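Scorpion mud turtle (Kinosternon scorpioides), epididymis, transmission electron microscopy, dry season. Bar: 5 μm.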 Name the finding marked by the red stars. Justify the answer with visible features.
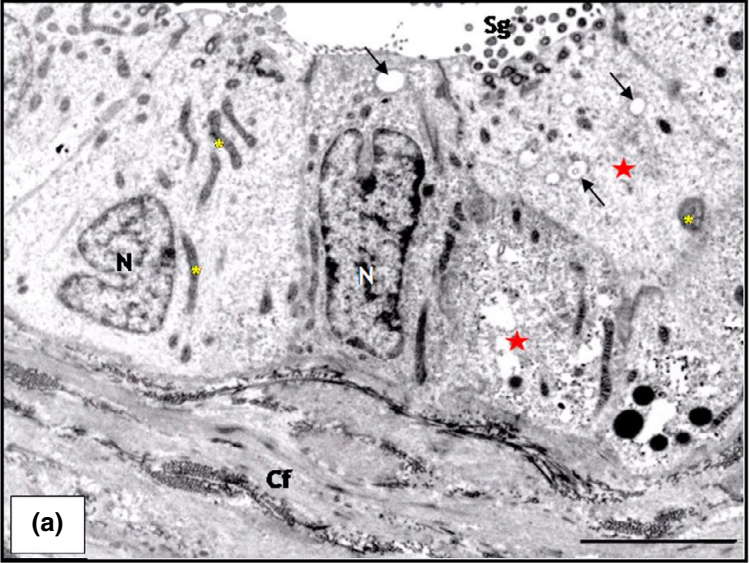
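Loss of cytoplasmic organelles and nucleus. The cytoplasm at the red stars is pale and sparsely granular. No nucleus is visible in the cell regions marked by the red stars. Few membrane-bound organelles lie in the starred areas compared with the neighbouring cells.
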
